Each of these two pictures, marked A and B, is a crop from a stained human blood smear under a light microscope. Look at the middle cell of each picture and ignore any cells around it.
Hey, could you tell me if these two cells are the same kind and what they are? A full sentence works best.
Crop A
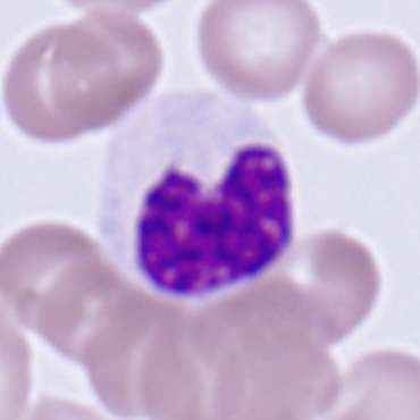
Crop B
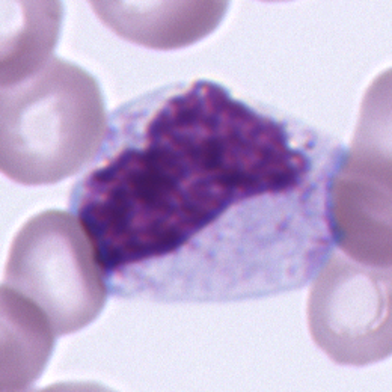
Yes, band neutrophils are the cells shown in both crops.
